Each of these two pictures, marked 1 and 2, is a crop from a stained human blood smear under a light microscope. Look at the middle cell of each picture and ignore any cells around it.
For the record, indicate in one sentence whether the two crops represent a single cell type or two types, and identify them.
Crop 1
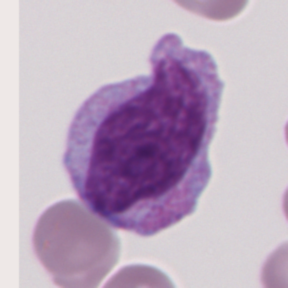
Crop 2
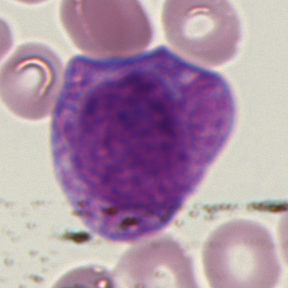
Yes, both crops alike show atypical promyelocytes at the centre.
